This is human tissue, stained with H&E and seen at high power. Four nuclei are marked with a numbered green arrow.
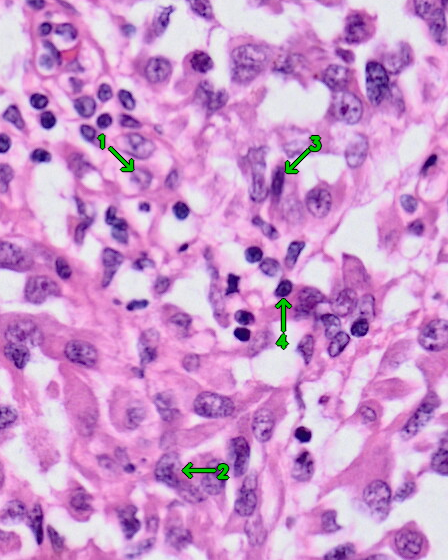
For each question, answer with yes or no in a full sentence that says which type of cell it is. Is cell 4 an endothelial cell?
No; cell 4 is a lymphocyte, not an endothelial cell.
